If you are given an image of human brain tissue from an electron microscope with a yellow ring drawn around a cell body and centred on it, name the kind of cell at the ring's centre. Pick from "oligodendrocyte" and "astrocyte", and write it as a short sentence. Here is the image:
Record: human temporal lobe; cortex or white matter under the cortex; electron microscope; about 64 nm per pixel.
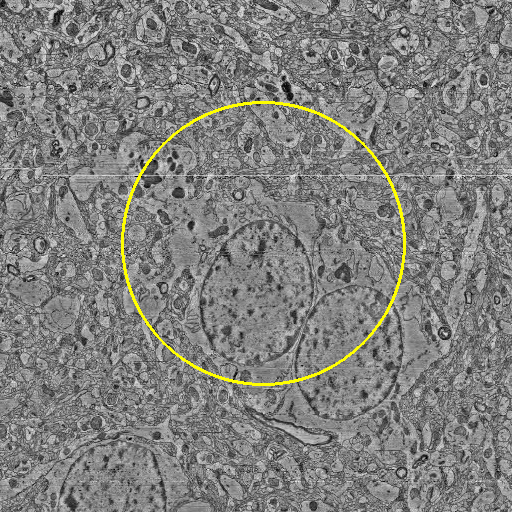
The cell at the ring's centre is an astrocyte.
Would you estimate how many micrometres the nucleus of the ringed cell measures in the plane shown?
The nucleus of the ringed cell is approximately 10 by 7 micrometres in this plane.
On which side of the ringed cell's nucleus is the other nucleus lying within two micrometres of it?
The second nucleus lies to the right of it.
